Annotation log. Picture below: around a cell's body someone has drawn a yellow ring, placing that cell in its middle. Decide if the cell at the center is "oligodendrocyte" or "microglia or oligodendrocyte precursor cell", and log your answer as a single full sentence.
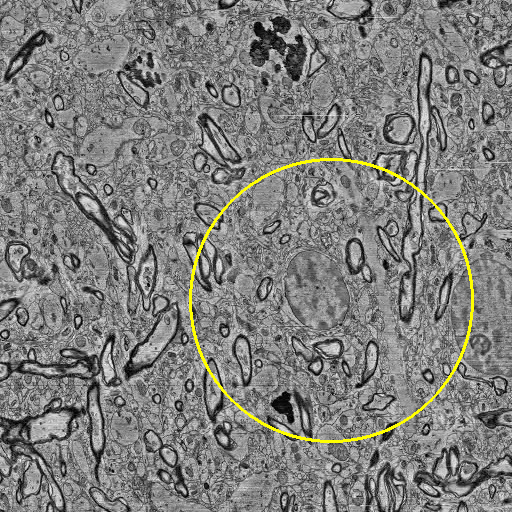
My entry records a microglial cell or oligodendrocyte precursor cell as the cell sitting at the center of the yellow ring.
